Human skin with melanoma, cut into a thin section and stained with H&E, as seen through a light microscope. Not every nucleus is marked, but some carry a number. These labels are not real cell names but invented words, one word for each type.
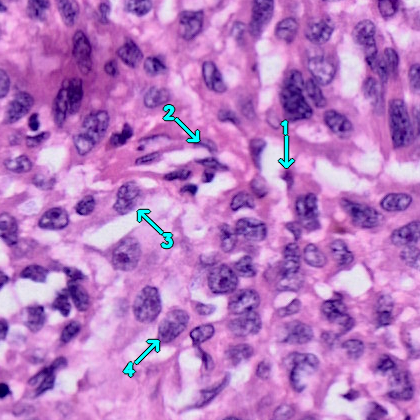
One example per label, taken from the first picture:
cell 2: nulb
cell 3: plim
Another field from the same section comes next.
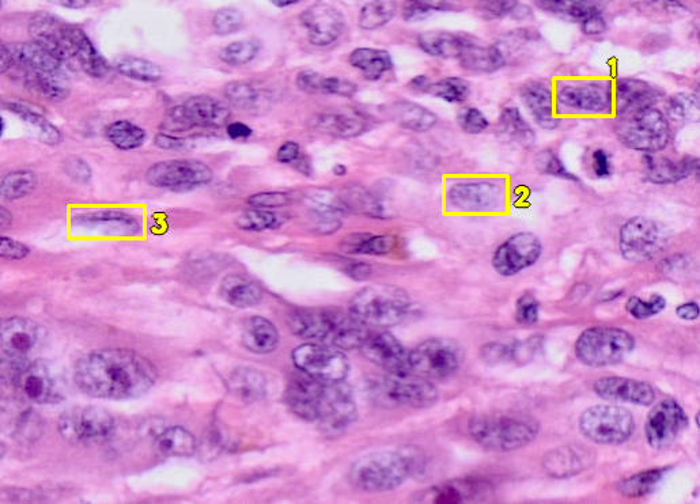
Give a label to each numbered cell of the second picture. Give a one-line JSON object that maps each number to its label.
{"1": "plim", "2": "plim", "3": "nulb"}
